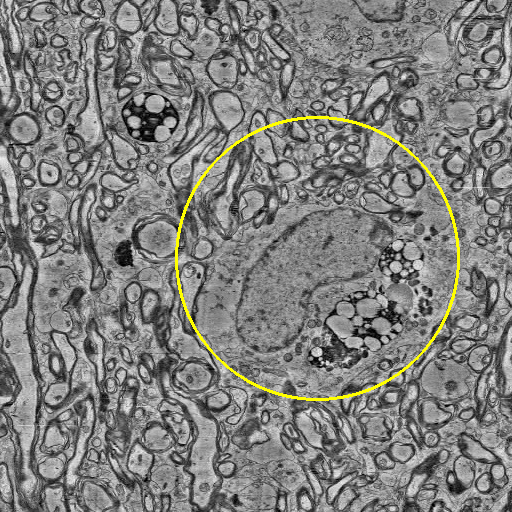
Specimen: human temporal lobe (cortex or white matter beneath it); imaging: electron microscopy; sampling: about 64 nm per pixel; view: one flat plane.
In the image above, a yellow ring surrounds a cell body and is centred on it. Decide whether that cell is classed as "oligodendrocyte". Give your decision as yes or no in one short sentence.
No, it belongs to another kind of cell.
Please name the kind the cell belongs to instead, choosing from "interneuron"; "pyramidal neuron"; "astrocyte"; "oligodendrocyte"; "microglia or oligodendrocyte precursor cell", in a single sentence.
Instead, the cell at the centre of the yellow ring is an astrocyte.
